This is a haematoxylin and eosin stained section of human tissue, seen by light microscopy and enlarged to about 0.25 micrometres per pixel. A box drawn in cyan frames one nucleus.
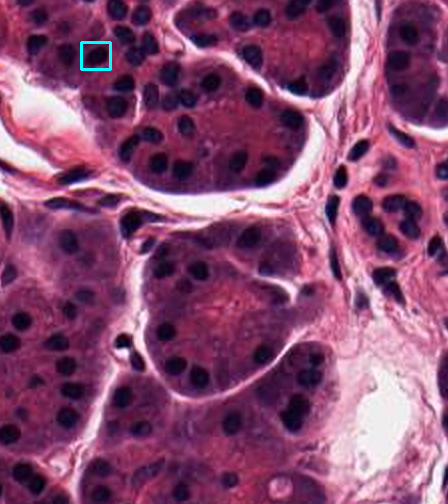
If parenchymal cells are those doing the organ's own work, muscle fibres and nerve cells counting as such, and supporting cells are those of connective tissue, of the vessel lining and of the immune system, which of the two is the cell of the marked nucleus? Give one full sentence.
The parenchymal cell that owns the marked nucleus is a pancreatic acinar cell.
